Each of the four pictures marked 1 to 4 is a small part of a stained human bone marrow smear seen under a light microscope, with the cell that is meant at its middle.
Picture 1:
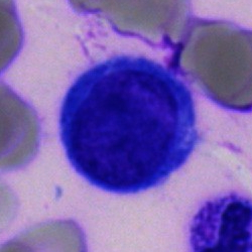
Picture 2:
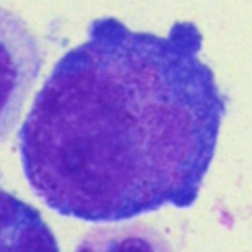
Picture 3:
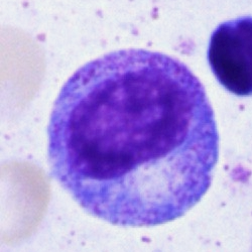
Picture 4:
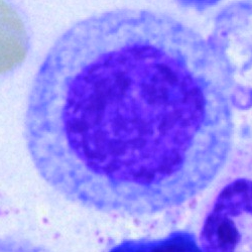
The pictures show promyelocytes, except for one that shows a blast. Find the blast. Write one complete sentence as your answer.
Picture 1 shows the blast.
